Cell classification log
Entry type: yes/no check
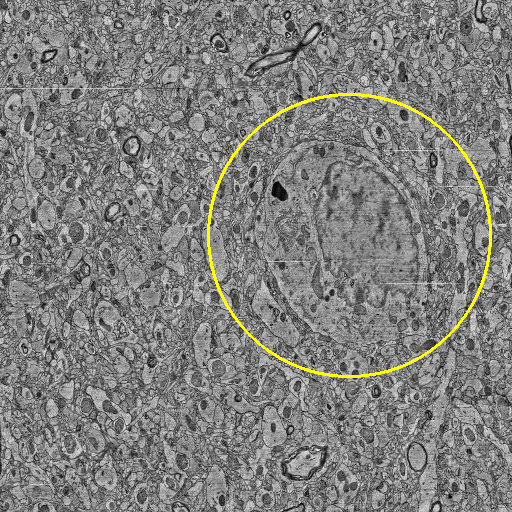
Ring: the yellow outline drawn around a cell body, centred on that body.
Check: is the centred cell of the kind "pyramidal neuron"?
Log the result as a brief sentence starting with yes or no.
No, the cell is of another kind.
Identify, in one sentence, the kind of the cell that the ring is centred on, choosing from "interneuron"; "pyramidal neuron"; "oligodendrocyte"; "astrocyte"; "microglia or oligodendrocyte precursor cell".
The cell enclosed by the ring is an interneuron.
